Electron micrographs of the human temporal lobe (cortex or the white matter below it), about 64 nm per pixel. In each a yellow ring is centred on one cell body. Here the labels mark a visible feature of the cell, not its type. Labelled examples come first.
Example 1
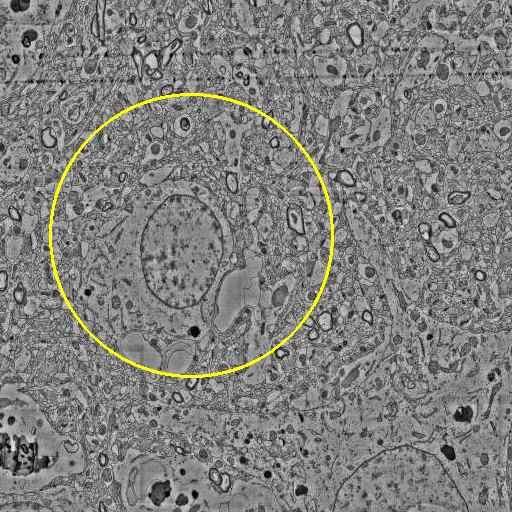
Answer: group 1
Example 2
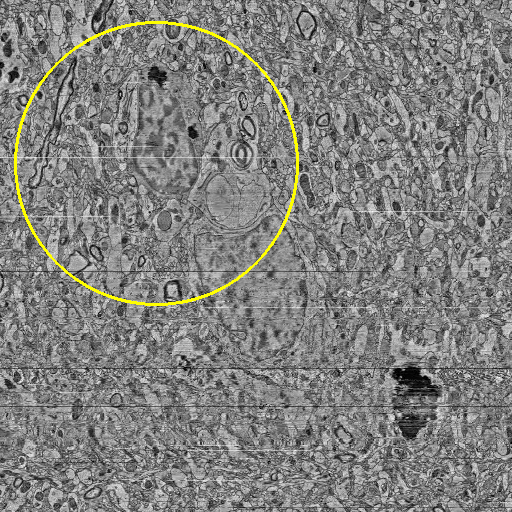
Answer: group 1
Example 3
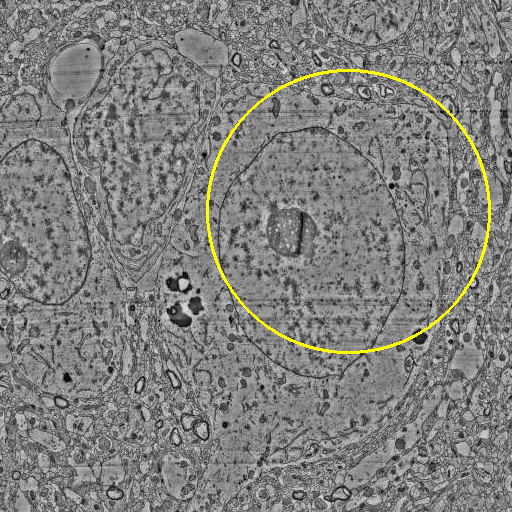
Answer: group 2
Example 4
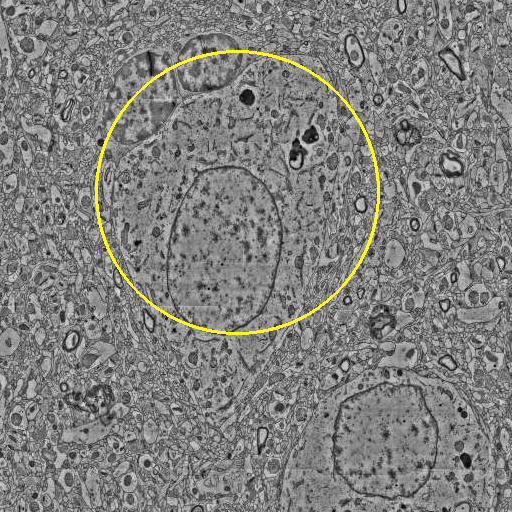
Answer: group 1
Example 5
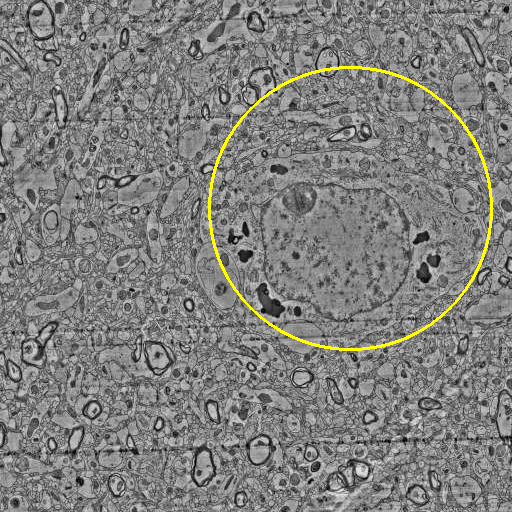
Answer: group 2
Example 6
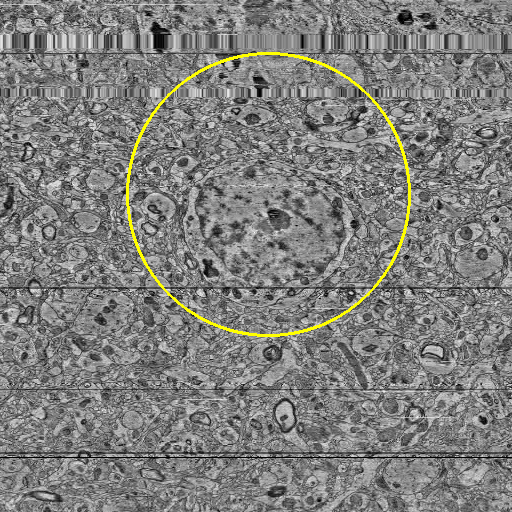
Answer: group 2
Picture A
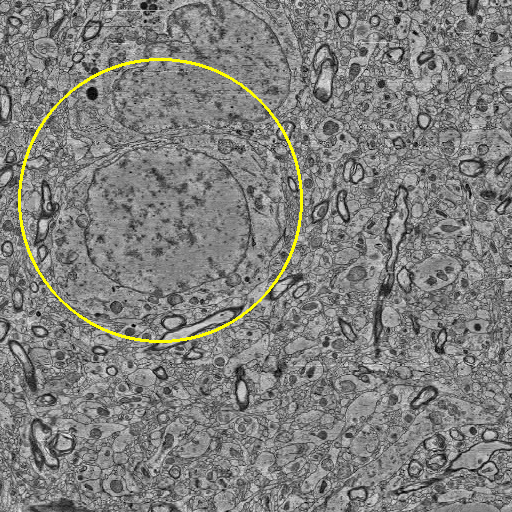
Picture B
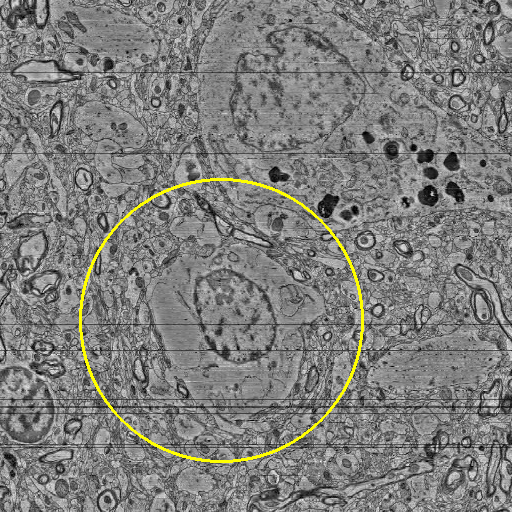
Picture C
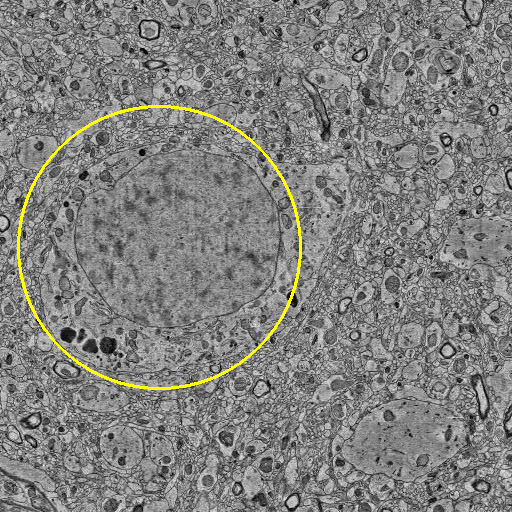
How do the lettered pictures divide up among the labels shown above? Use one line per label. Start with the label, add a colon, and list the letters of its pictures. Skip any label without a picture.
group 1: A, B, C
